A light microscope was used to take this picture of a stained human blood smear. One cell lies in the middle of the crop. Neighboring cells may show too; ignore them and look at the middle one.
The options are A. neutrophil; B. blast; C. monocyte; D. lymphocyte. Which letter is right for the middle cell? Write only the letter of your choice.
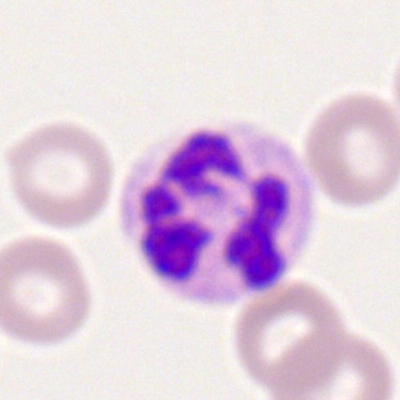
A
